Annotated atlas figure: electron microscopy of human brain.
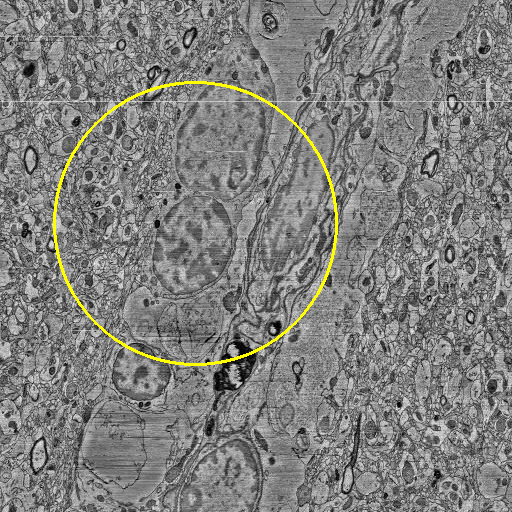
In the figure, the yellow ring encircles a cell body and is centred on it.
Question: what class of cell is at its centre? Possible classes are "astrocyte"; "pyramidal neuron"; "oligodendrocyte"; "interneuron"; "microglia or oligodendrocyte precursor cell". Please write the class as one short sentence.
The yellow ring is drawn around an oligodendrocyte.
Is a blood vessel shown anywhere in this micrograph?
Yes, one is visible.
